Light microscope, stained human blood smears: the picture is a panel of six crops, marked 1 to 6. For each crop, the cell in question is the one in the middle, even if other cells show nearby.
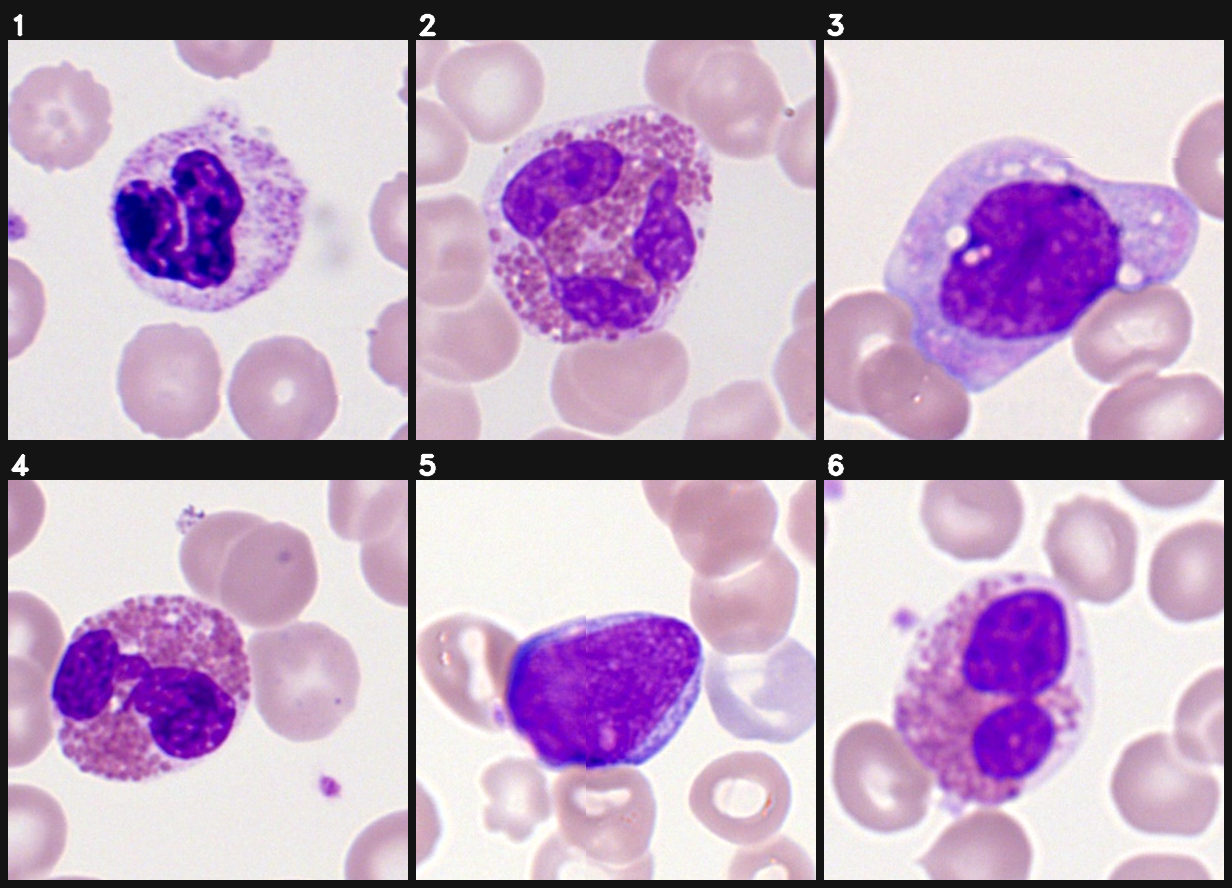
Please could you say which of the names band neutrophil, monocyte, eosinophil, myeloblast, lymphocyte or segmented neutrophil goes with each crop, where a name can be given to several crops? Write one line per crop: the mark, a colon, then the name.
1: segmented neutrophil
2: eosinophil
3: monocyte
4: eosinophil
5: myeloblast
6: eosinophil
